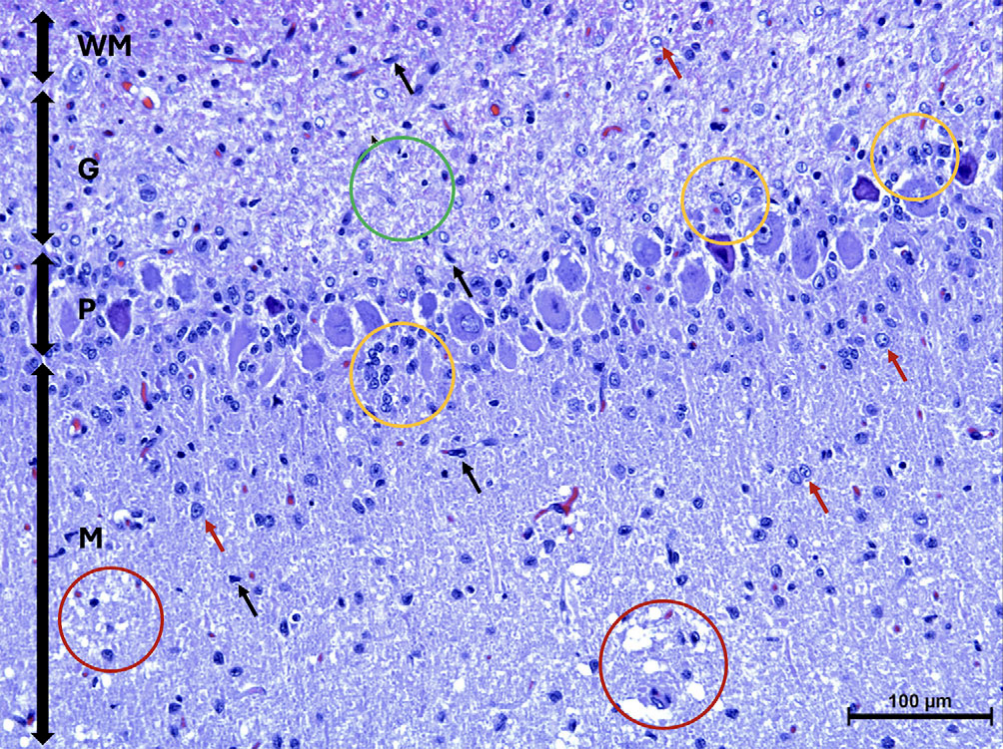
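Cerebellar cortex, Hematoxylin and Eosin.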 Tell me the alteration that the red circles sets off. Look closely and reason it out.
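The circles enclose many clear, empty round vacuoles in the pale neuropil. The vacuoles are of varied sizes. The answer: spongiosis.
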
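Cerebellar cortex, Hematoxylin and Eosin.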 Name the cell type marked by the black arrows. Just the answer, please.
Microglia.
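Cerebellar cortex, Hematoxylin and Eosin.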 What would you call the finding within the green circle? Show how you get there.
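Hypocellularity of the granule cell neurons. The circled area is pale pink-purple neuropil. The circled area holds only a few scattered nuclei instead of densely packed small nuclei.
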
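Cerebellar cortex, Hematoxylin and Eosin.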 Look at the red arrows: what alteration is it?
Astrogliosis.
